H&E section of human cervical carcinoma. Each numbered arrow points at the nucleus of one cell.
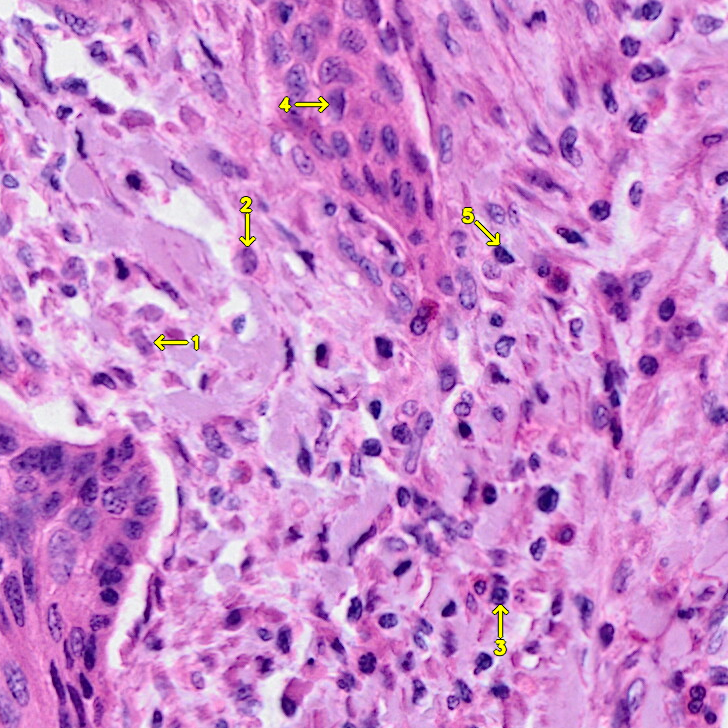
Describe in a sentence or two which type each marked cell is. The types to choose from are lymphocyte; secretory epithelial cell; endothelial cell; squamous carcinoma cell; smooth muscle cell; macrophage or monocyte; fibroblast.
Cell 1 is a fibroblast, cell 2 is a macrophage or monocyte, cell 3 is a lymphocyte, cell 4 is a squamous carcinoma cell and cell 5 is a lymphocyte.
